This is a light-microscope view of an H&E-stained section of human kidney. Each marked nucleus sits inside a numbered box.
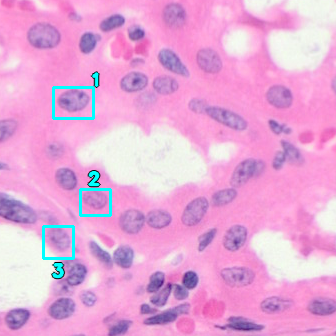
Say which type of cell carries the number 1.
proximal tubule cell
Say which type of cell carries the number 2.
proximal tubule cell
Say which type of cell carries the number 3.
collecting duct cell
